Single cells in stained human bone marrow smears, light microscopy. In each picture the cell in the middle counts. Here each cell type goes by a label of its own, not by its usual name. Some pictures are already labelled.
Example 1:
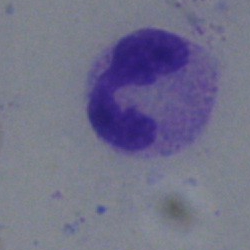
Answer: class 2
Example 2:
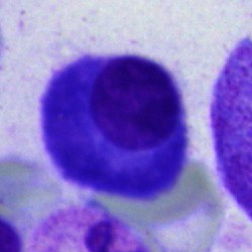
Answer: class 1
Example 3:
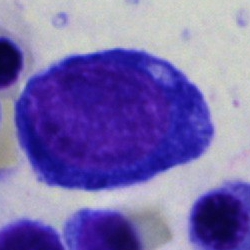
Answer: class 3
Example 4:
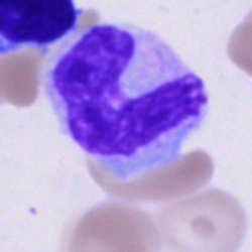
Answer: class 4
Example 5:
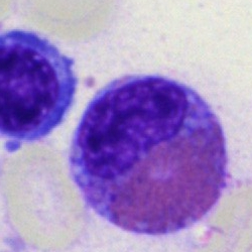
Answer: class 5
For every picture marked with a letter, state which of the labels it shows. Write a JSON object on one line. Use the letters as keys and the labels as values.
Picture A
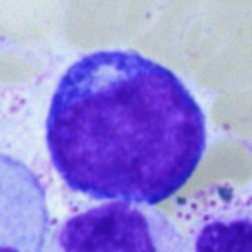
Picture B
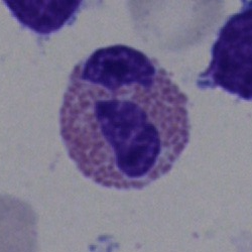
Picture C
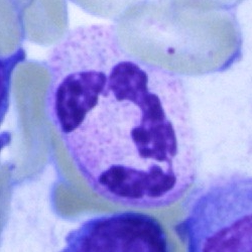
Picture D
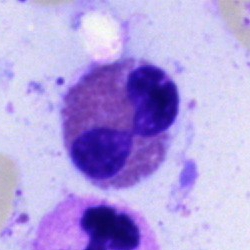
{"A": "class 3", "B": "class 5", "C": "class 2", "D": "class 5"}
